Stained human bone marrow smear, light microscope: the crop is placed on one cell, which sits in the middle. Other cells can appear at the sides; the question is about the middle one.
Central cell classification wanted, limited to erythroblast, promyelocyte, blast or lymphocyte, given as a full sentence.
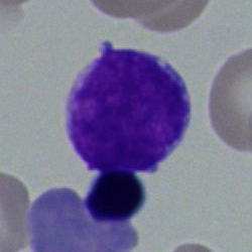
The cell of interest, located centrally, is a blast.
